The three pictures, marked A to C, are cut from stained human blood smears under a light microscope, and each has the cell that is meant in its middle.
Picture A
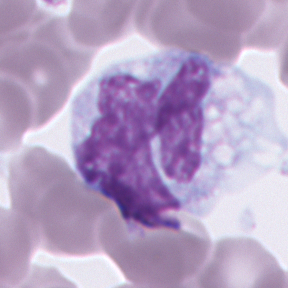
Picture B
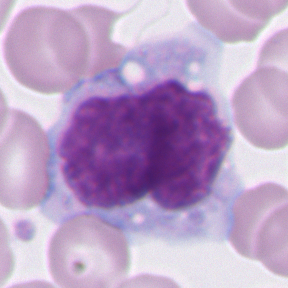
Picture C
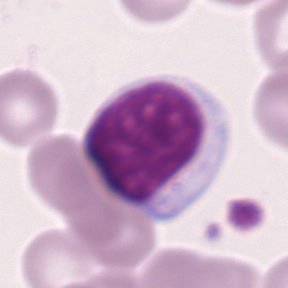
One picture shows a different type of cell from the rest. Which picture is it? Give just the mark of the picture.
C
